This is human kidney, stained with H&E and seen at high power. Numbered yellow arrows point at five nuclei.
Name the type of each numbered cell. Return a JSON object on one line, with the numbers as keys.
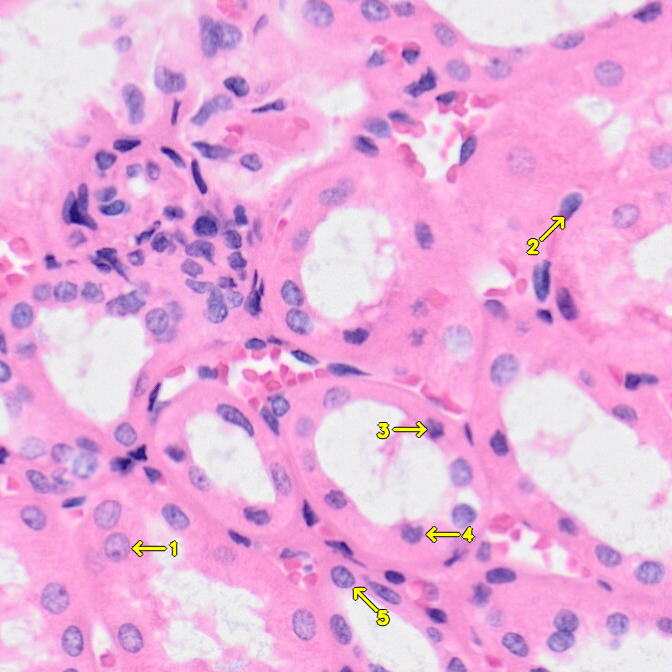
{"1": "proximal tubule cell", "2": "endothelial cell", "3": "loop of Henle or distal tubule cell", "4": "loop of Henle or distal tubule cell", "5": "collecting duct cell"}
